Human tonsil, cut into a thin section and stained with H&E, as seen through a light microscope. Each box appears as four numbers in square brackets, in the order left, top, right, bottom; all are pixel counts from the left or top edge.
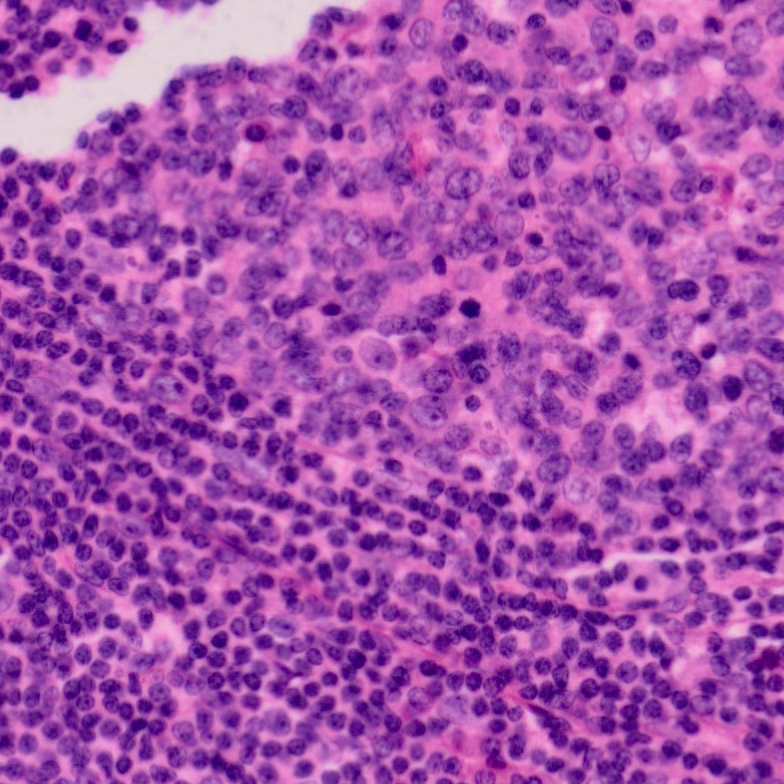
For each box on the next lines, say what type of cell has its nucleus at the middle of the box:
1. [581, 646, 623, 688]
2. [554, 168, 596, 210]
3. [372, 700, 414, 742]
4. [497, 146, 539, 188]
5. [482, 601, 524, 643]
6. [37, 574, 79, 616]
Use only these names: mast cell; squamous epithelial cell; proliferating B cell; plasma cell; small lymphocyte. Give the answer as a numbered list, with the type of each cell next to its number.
1. small lymphocyte
2. proliferating B cell
3. small lymphocyte
4. proliferating B cell
5. small lymphocyte
6. small lymphocyte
